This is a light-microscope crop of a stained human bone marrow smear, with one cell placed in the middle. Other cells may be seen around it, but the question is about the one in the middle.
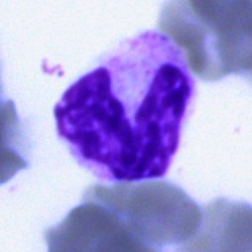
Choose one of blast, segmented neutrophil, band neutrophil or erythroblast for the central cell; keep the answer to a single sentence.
In the middle of this smear crop is a segmented neutrophil.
